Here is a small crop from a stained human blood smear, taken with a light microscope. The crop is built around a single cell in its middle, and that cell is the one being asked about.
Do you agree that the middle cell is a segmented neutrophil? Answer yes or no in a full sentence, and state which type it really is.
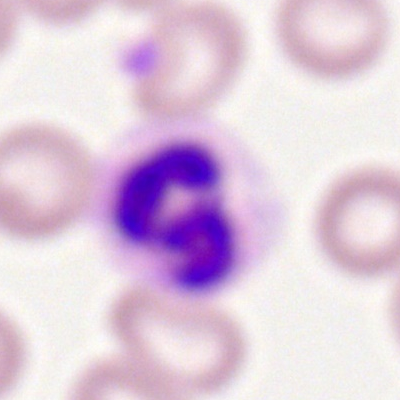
Yes, that is a segmented neutrophil in the middle of the crop.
